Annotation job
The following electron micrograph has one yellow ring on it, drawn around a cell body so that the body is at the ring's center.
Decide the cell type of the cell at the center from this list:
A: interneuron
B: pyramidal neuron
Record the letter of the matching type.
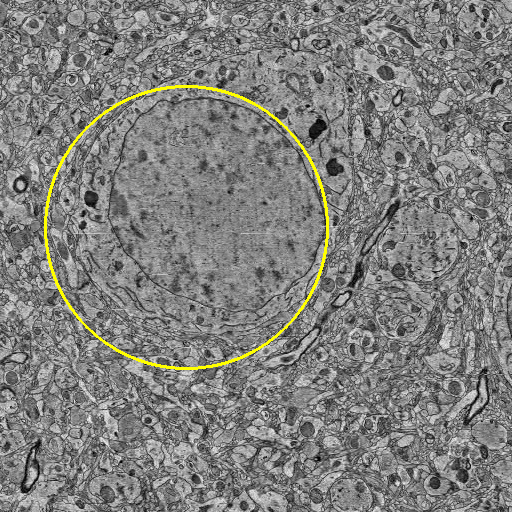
B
